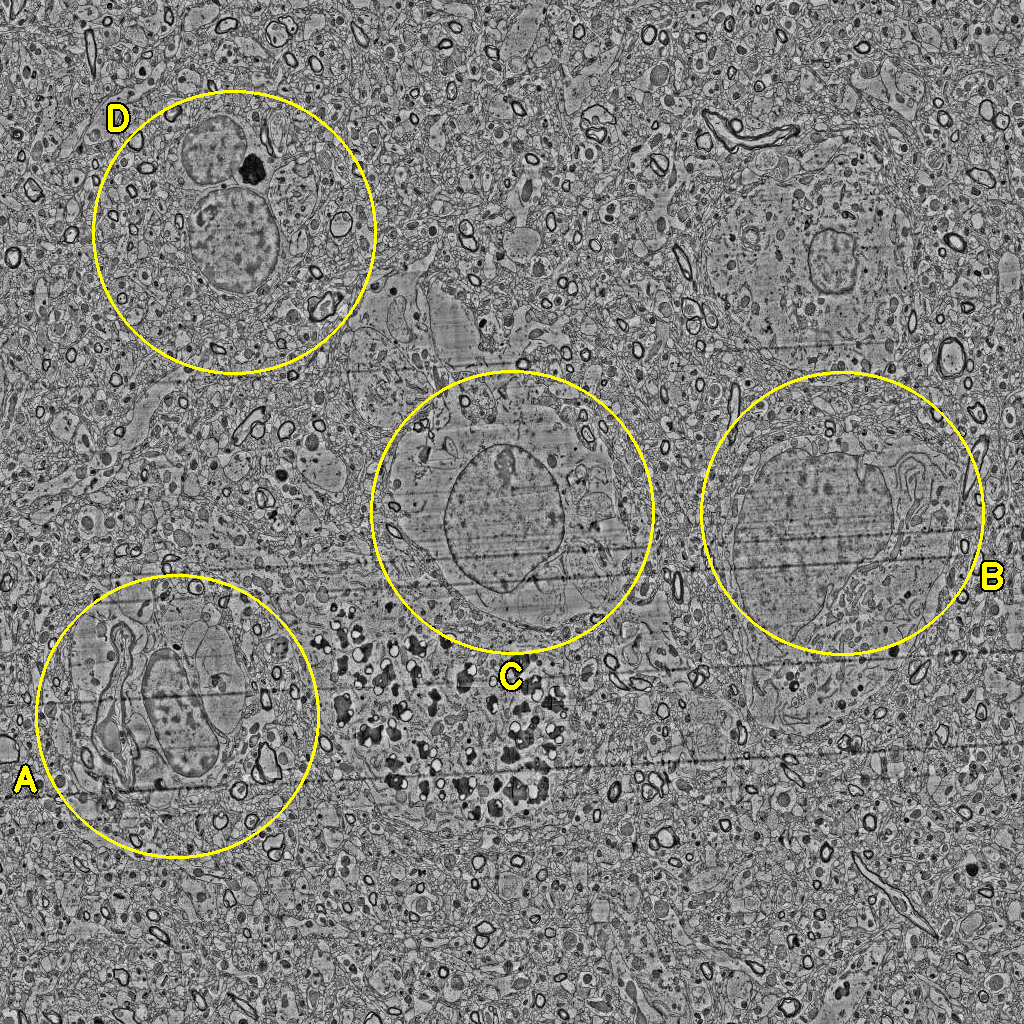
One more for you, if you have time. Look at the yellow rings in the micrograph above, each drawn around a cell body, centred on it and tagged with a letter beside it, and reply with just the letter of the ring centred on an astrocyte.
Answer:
C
